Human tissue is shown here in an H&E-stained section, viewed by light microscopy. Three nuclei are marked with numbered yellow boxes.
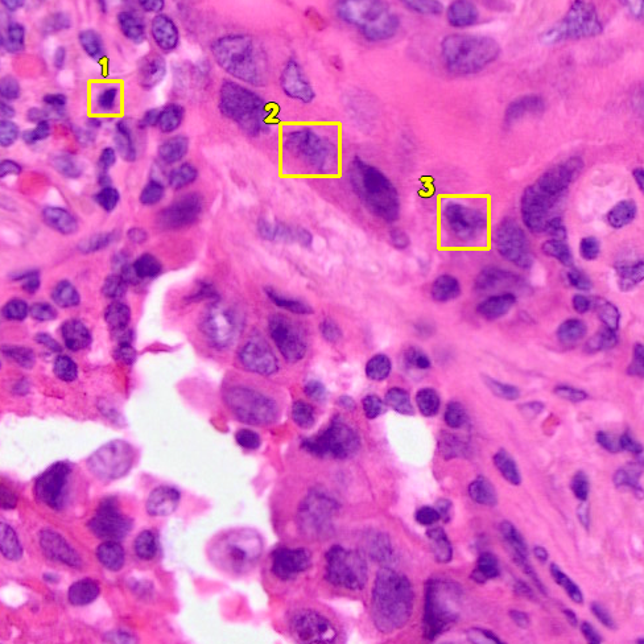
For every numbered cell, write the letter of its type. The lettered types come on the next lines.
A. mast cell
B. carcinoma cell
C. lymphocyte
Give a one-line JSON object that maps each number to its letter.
{"1": "C", "2": "B", "3": "B"}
